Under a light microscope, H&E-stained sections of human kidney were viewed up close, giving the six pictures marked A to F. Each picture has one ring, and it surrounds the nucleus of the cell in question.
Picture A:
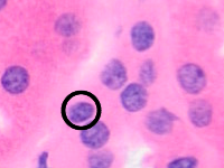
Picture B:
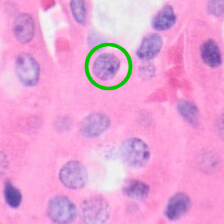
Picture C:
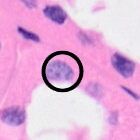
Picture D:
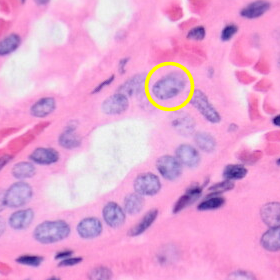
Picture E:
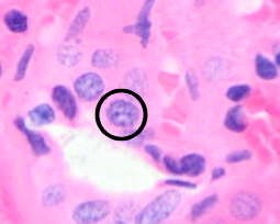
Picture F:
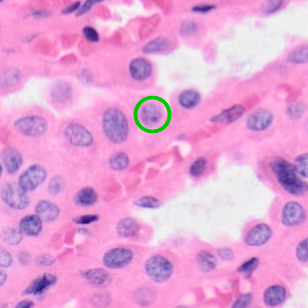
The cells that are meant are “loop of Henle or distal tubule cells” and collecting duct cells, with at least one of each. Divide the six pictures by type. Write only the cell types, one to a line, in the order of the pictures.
collecting duct cell
loop of Henle or distal tubule cell
loop of Henle or distal tubule cell
collecting duct cell
collecting duct cell
loop of Henle or distal tubule cell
